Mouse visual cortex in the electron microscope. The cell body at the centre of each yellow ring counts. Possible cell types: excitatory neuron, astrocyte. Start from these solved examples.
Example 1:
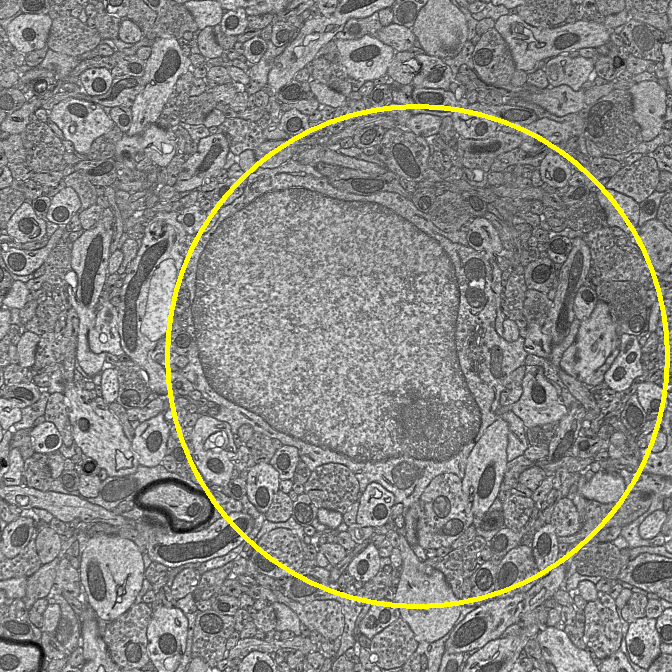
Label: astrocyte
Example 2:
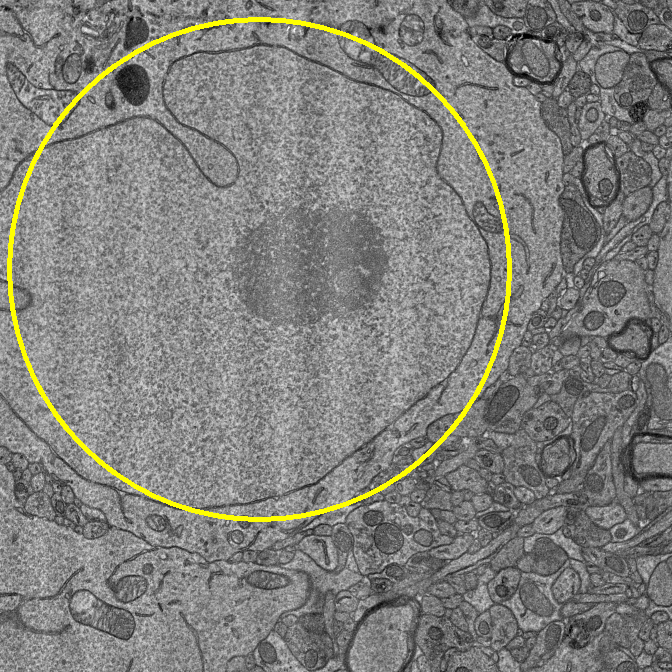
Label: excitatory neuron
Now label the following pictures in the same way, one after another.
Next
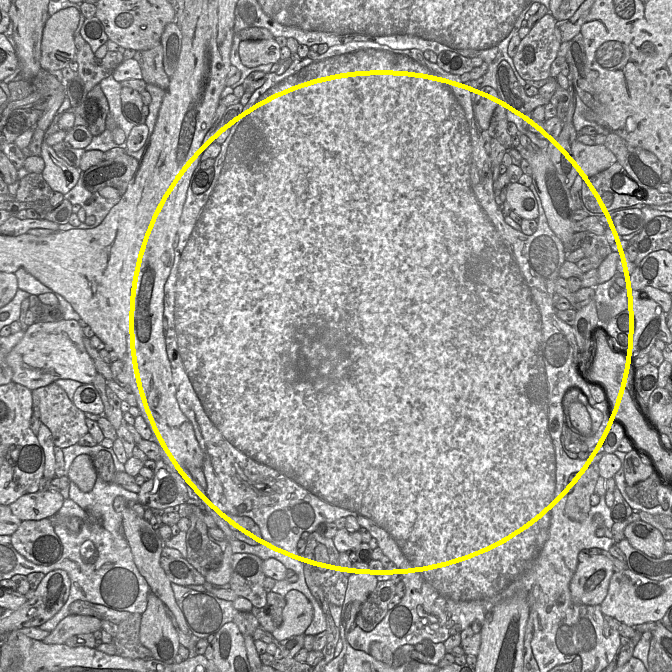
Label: astrocyte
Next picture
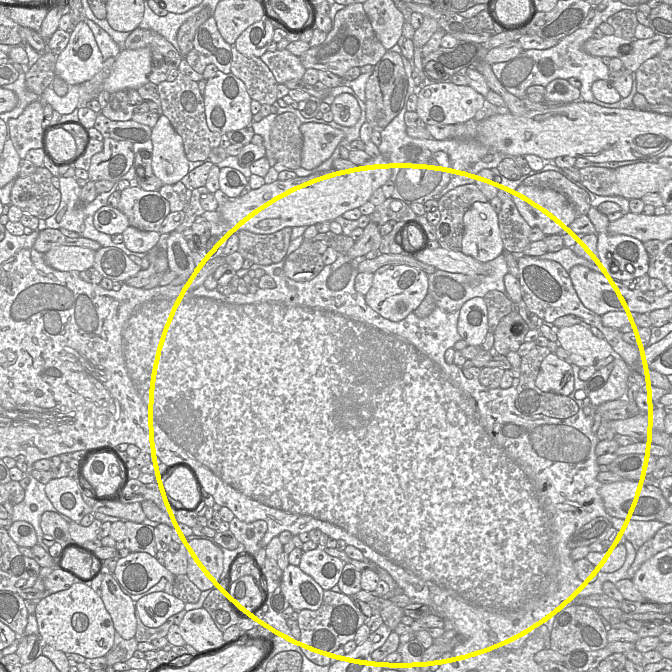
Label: astrocyte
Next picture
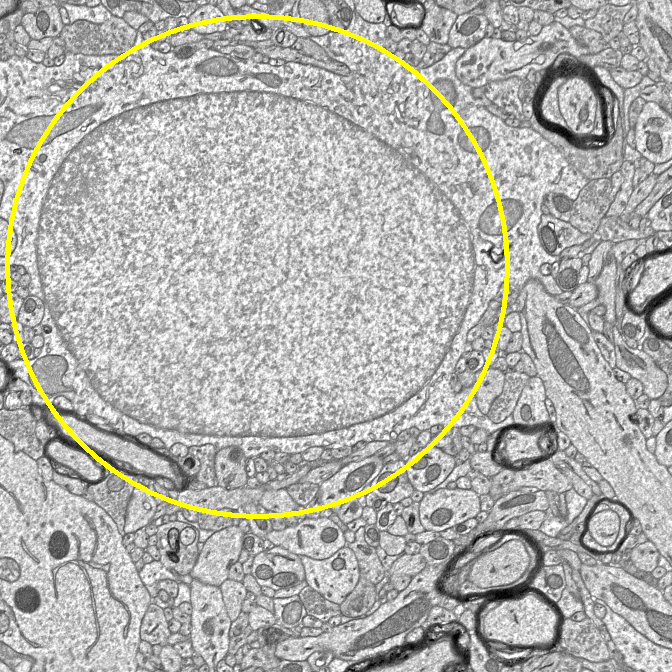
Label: astrocyte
